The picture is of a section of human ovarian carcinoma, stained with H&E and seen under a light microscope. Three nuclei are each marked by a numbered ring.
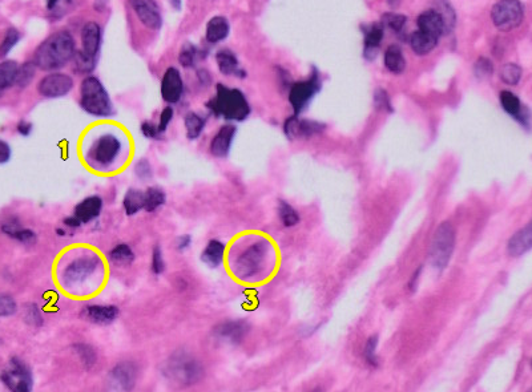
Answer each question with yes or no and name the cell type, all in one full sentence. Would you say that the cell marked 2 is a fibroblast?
Yes, correct, the cell with the number 2 is a fibroblast.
